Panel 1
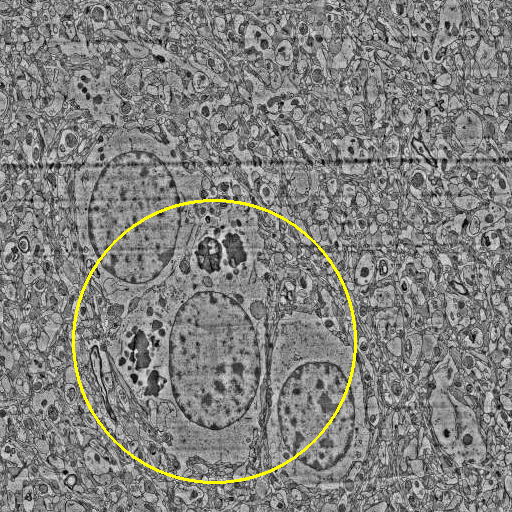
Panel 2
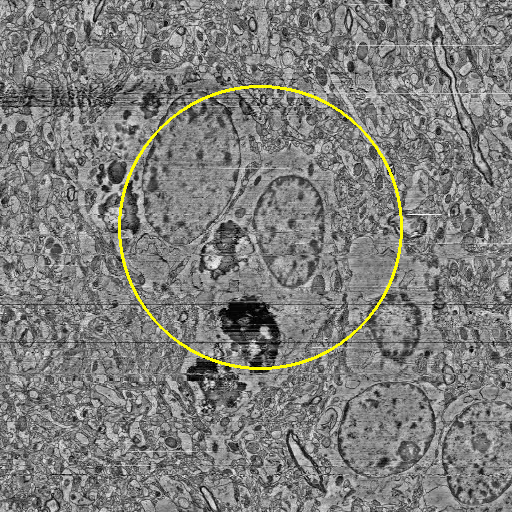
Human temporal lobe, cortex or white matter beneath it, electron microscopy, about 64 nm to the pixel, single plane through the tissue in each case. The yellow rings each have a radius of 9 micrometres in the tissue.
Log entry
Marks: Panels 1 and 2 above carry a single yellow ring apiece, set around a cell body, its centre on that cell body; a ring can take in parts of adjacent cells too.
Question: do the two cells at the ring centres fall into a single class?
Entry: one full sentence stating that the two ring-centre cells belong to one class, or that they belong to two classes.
The two ring-centre cells in Panels 1 and 2 belong to one class.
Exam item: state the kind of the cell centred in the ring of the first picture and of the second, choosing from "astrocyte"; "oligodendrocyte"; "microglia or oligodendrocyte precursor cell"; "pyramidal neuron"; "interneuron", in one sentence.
Both the first and the second picture show an astrocyte in the ring.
